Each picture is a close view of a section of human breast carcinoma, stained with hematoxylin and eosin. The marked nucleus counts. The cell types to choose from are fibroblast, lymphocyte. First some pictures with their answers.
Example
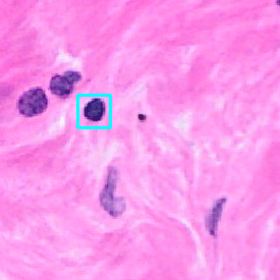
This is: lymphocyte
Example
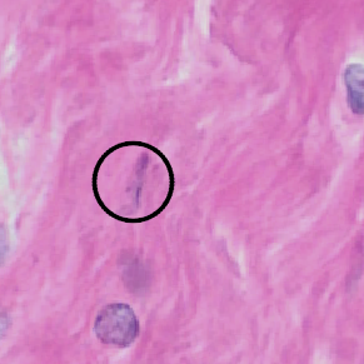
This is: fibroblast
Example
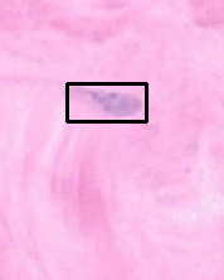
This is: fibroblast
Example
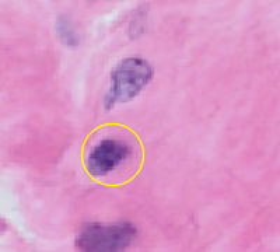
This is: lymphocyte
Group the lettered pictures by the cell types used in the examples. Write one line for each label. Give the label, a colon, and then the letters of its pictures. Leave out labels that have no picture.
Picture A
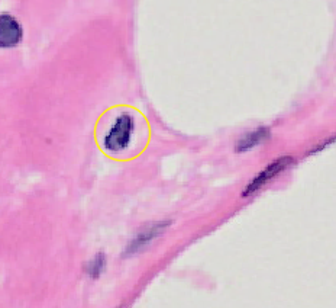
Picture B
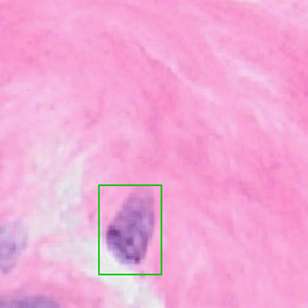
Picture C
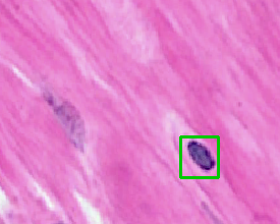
fibroblast: B
lymphocyte: A, C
